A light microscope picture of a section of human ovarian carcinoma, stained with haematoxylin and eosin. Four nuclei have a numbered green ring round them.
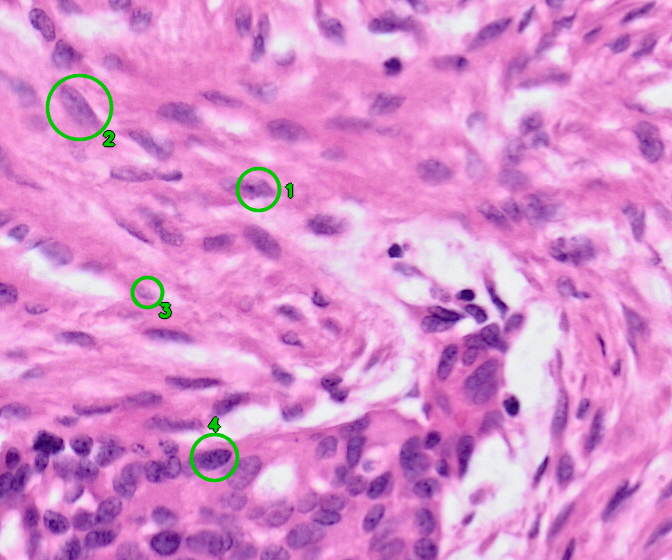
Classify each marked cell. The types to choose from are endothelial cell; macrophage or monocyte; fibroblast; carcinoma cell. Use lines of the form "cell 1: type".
cell 1: fibroblast
cell 2: fibroblast
cell 3: fibroblast
cell 4: carcinoma cell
